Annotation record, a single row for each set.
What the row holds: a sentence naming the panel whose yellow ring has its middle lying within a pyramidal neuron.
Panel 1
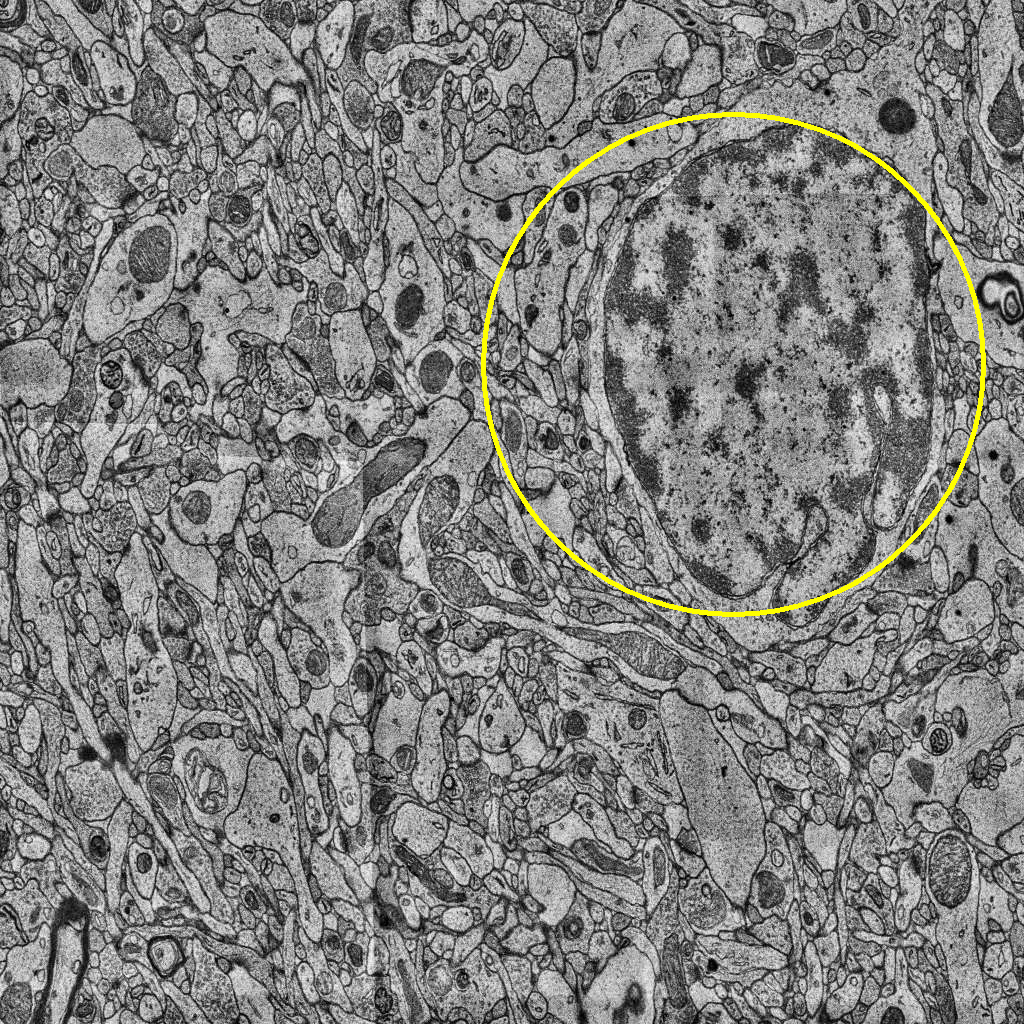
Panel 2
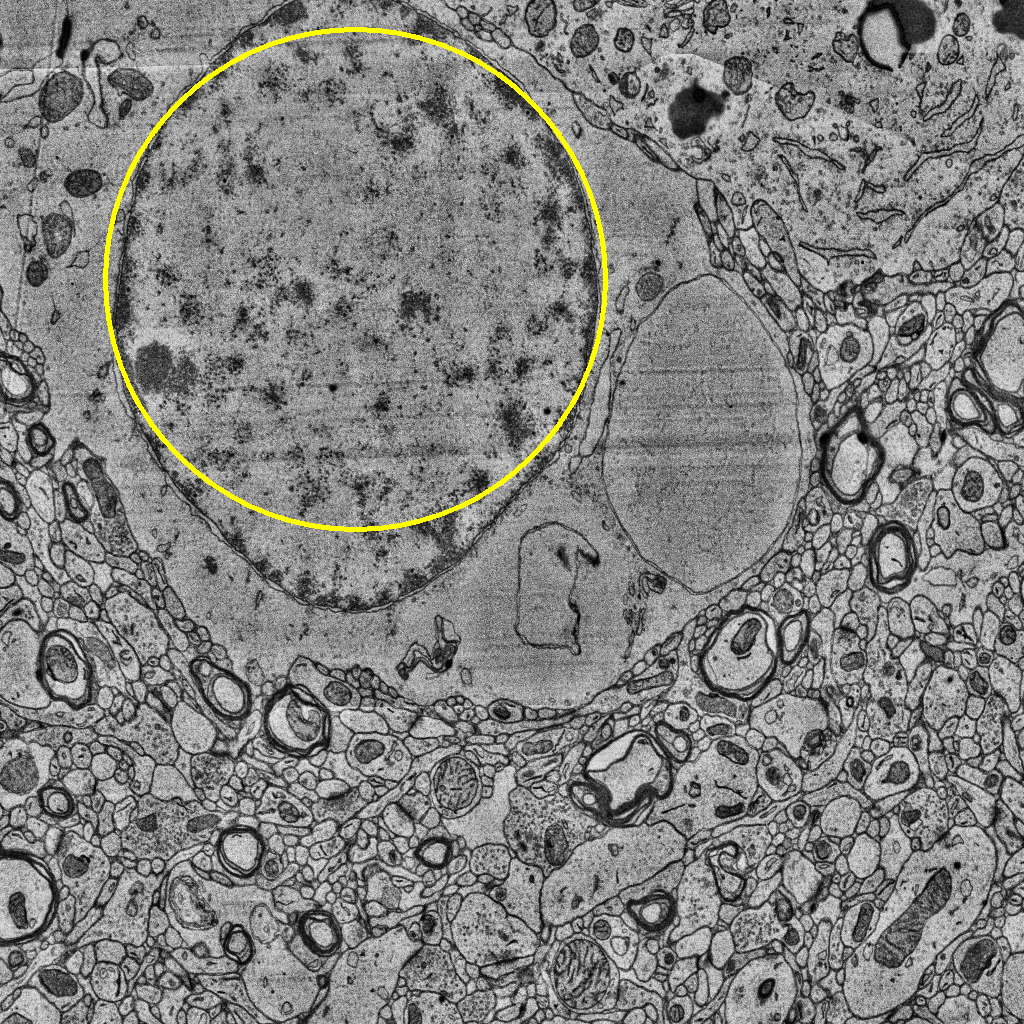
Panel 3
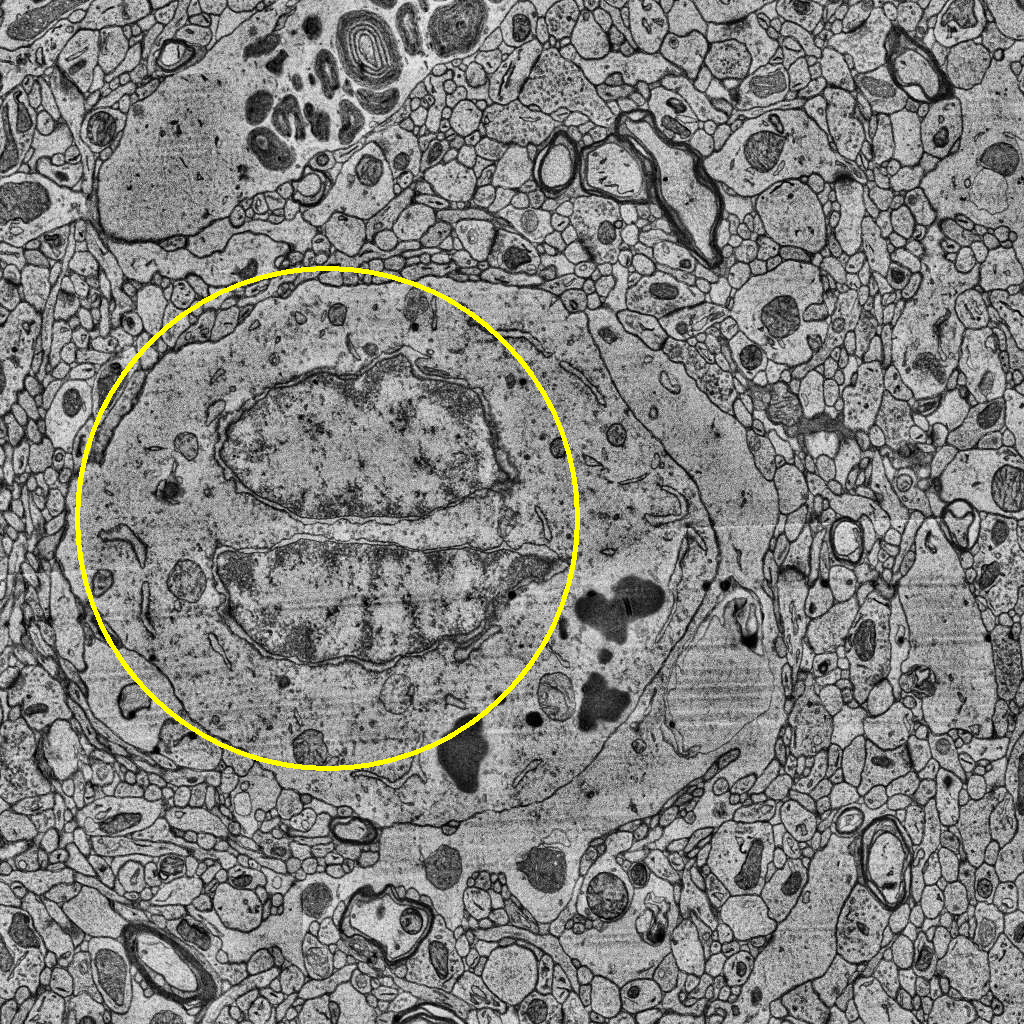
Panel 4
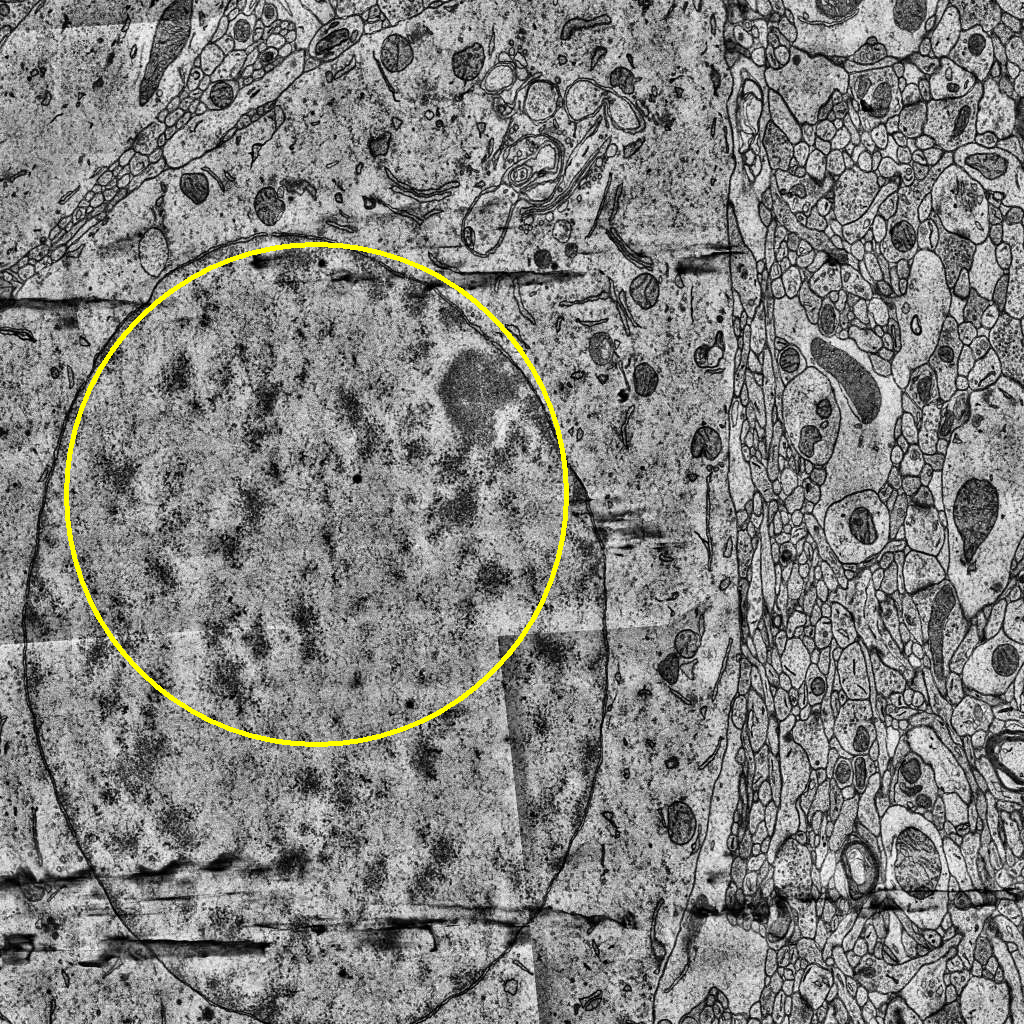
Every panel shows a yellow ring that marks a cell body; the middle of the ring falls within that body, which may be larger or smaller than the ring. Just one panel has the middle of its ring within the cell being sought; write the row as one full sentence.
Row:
In panel 4, the middle of the yellow ring lies within the cell that is sought.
